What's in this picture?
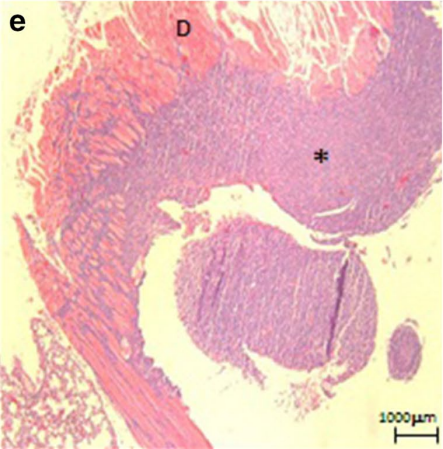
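Pink bundles of striated skeletal muscle of the diaphragm run along the upper left of the field. A large, solid mass of densely packed purple-staining cells lies against and extends into the muscle, with further rounded nodules of similar cells separated by clefts below it.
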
